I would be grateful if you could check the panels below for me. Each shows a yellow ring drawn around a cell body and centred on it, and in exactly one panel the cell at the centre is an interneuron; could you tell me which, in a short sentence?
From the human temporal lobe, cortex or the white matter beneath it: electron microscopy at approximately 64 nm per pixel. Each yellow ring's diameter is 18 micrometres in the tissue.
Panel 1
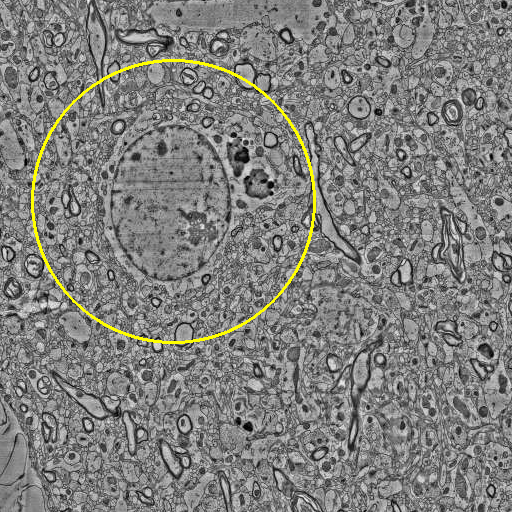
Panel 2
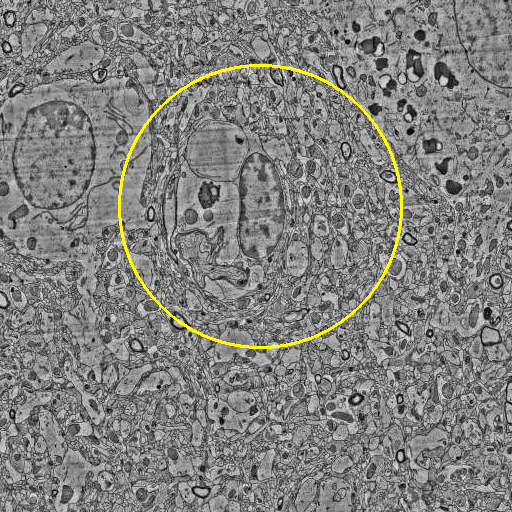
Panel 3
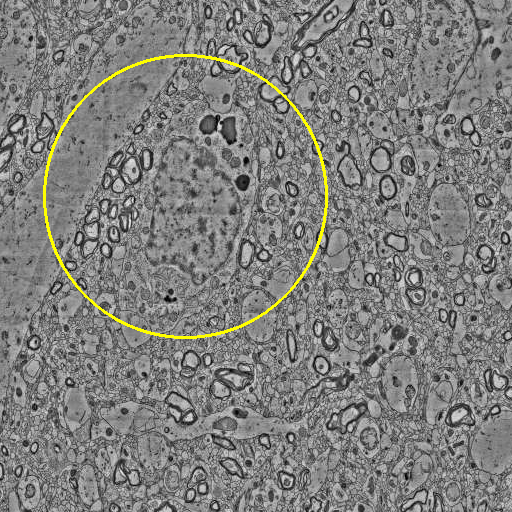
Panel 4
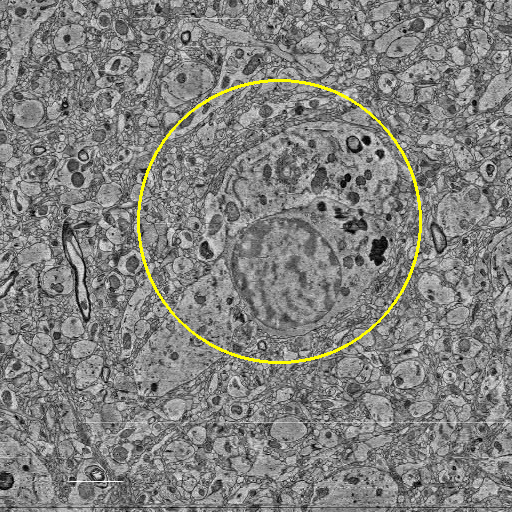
The ring in Panel 3 is centred on it.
